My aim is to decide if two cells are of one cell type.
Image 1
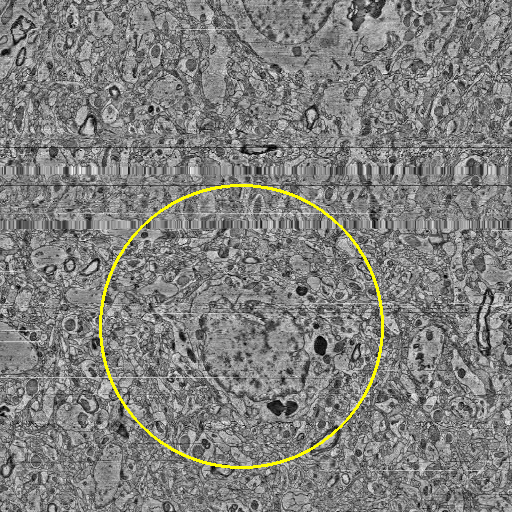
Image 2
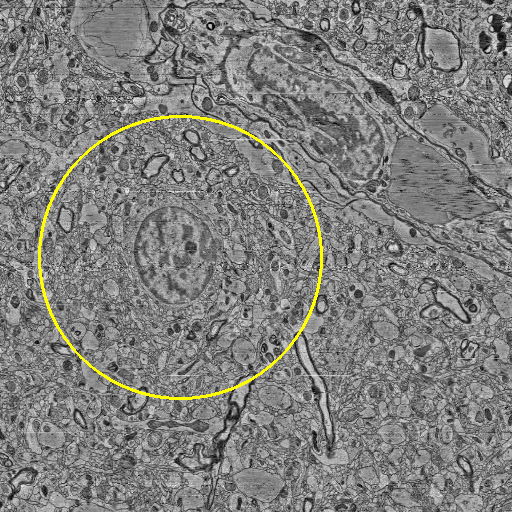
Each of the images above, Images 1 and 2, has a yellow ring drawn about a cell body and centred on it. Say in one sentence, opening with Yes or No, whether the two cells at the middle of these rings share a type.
No, in Images 1 and 2 the cells at the middle of the rings fall into two types.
